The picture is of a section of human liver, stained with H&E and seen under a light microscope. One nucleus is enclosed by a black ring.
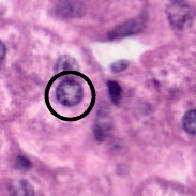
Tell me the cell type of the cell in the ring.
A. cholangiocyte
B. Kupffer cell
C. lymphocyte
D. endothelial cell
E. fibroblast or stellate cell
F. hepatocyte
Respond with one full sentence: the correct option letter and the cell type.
Option F is correct in that the cell in the ring is a hepatocyte.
